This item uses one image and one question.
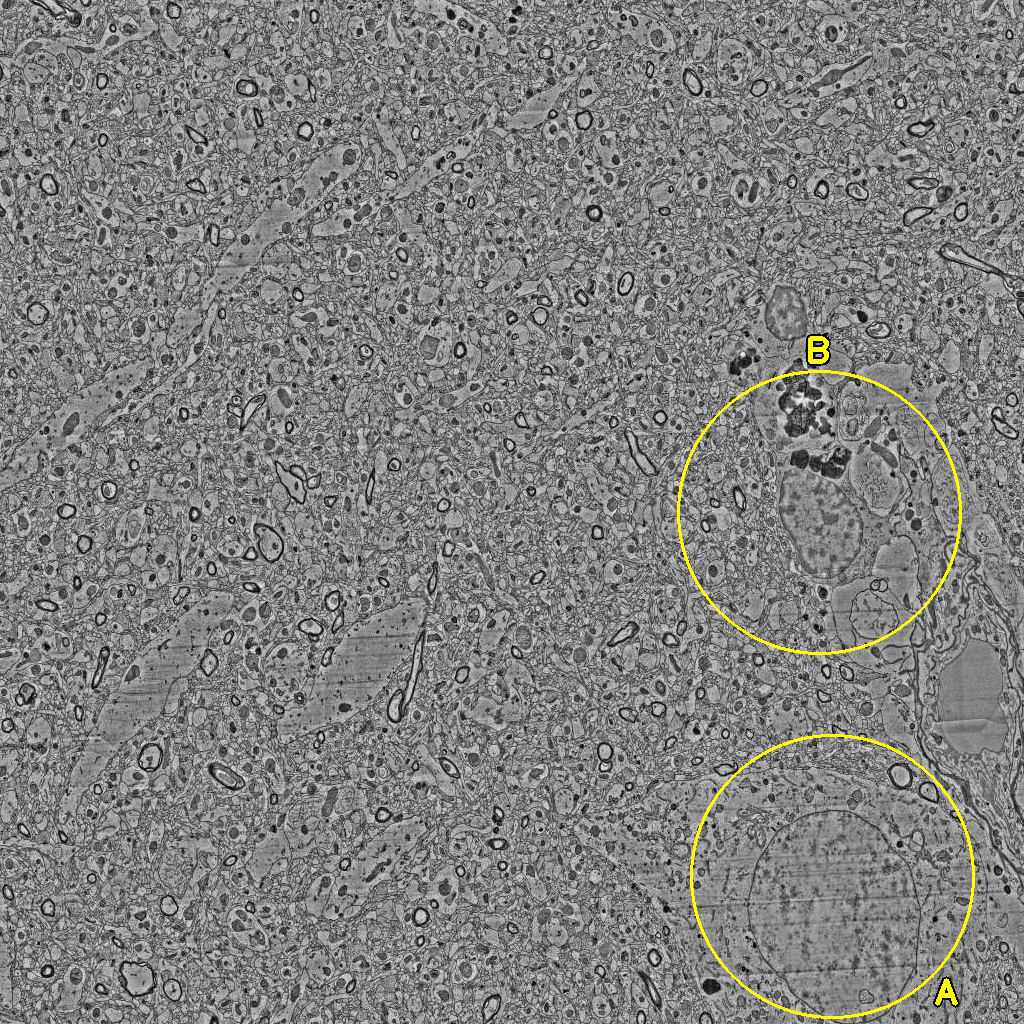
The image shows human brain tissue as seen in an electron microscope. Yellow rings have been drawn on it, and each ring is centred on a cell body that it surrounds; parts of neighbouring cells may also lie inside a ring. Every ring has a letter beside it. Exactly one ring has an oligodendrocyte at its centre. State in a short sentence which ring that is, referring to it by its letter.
Ring B has that cell at its centre.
